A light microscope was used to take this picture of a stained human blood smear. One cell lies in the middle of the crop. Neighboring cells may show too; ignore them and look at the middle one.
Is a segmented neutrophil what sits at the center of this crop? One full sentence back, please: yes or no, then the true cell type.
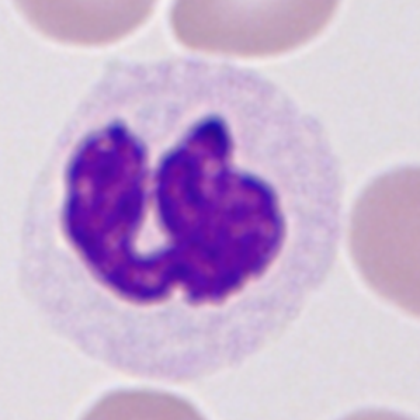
Yes, the cell at the centre of the field is a segmented neutrophil.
